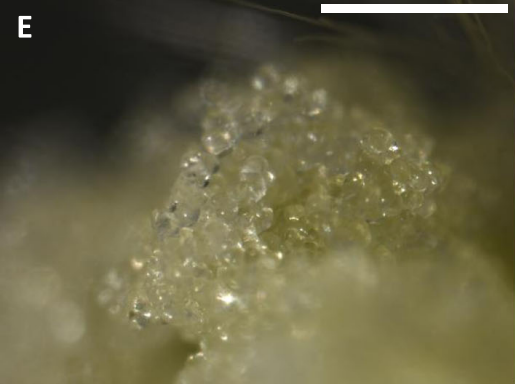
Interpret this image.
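This is callus seen close up, and what strikes the eye is a disorganized cell structure. The surface is made of many rounded, glassy, translucent cells heaped loosely on one another. They vary in size and are not arranged into layers or any recognisable organ.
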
